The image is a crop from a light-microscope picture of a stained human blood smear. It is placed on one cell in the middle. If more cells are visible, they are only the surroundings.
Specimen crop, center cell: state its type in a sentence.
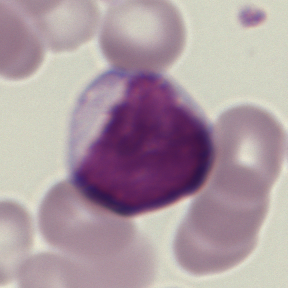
By type, the central cell of the crop is a large granular lymphocyte.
